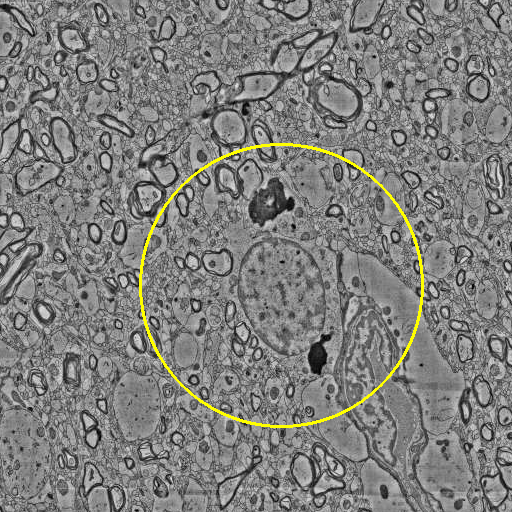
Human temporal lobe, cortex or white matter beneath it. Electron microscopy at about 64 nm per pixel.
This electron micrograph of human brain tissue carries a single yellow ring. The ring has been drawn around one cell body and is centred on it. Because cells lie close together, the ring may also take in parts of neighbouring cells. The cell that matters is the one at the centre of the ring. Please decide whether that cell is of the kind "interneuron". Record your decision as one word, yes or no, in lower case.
no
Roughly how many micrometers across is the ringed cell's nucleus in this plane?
In this plane the nucleus measures roughly 8 by 5 micrometers.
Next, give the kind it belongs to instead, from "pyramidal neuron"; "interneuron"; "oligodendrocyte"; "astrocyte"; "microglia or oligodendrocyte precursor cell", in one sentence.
The cell shown in the ring is an oligodendrocyte.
